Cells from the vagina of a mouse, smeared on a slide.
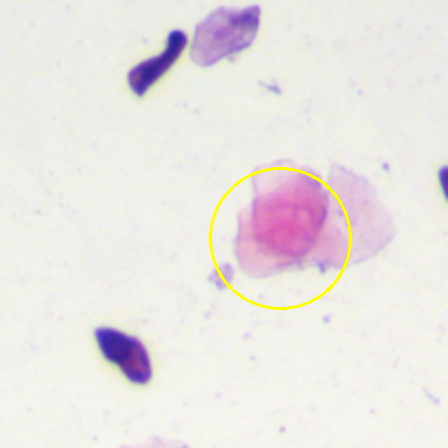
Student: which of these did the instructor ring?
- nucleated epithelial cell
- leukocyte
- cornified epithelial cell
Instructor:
The cell I ringed is a cornified epithelial cell.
